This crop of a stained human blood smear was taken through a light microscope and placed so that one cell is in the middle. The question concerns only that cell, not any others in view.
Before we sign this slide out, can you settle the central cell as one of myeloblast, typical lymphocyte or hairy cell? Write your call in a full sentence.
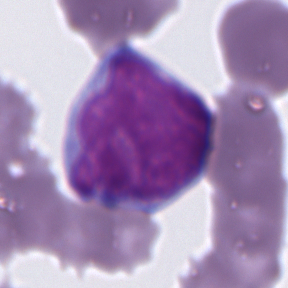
Occupying the centre of the crop is a myeloblast.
